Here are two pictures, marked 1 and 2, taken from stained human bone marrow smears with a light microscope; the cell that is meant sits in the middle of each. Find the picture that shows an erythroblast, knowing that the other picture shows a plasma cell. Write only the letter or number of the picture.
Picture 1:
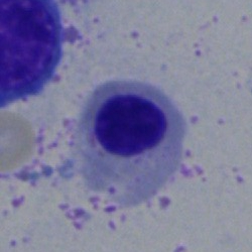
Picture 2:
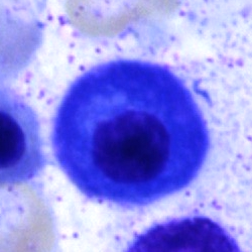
1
